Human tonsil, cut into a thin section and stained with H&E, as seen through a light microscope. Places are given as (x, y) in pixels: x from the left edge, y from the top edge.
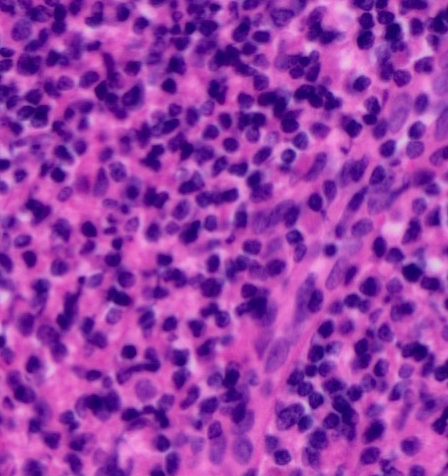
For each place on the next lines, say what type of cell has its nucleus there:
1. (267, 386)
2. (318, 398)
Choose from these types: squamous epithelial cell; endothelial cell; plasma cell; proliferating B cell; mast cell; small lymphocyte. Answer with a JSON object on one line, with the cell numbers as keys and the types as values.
{"1": "endothelial cell", "2": "small lymphocyte"}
